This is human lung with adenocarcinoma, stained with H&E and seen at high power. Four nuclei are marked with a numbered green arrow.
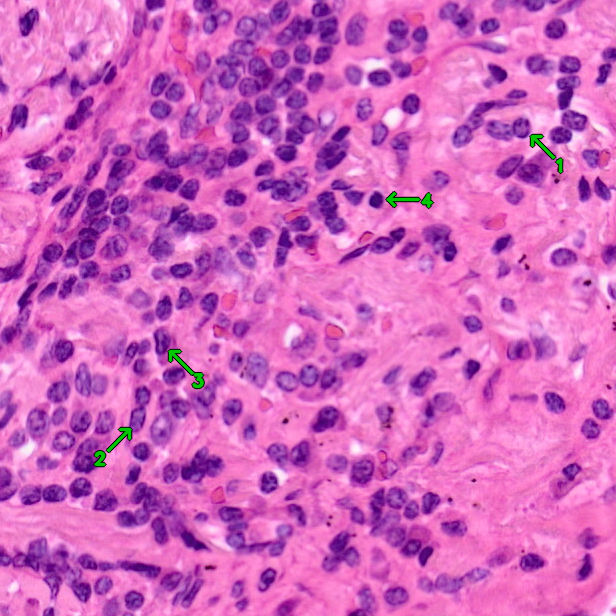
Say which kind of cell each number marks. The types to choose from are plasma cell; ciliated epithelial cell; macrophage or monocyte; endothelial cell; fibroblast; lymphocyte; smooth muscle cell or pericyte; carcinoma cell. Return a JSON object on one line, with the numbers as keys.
{"1": "lymphocyte", "2": "lymphocyte", "3": "plasma cell", "4": "lymphocyte"}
